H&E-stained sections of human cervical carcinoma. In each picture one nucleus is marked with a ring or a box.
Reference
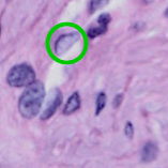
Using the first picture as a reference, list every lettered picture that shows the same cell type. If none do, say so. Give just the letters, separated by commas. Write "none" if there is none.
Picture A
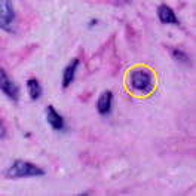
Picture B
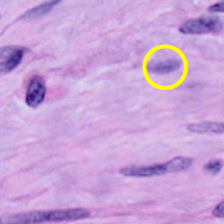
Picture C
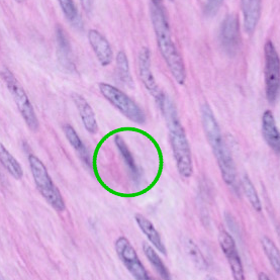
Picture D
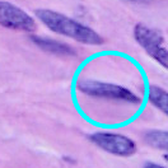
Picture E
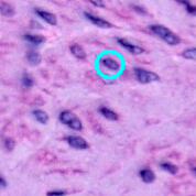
none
